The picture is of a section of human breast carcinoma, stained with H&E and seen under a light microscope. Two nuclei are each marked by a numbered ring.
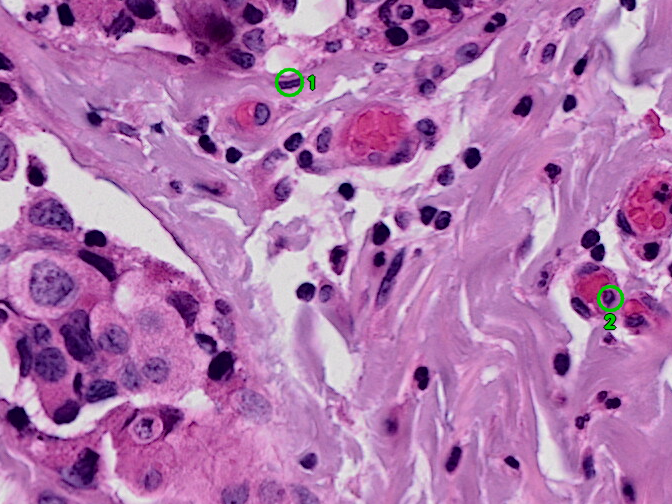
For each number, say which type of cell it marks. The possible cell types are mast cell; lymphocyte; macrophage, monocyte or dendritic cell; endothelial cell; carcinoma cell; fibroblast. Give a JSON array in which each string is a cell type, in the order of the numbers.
["fibroblast", "endothelial cell"]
